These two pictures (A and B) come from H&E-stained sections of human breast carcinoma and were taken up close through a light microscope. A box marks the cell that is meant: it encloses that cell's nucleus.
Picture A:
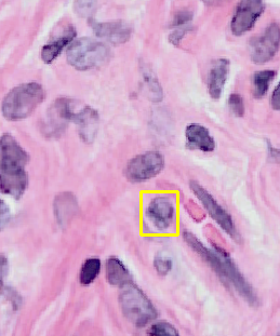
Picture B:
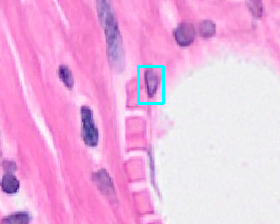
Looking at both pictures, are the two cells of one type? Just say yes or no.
yes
